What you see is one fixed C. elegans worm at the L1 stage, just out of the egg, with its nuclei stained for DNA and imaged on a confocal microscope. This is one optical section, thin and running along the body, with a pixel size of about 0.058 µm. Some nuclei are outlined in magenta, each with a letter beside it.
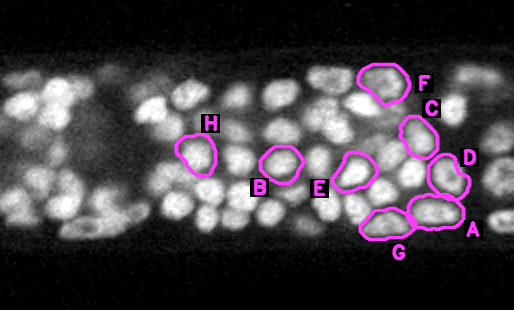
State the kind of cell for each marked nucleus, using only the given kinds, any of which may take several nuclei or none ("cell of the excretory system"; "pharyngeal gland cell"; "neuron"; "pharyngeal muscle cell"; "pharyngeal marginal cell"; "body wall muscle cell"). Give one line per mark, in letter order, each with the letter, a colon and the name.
A: cell of the excretory system
B: neuron
C: pharyngeal gland cell
D: pharyngeal muscle cell
E: neuron
F: body wall muscle cell
G: body wall muscle cell
H: neuron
